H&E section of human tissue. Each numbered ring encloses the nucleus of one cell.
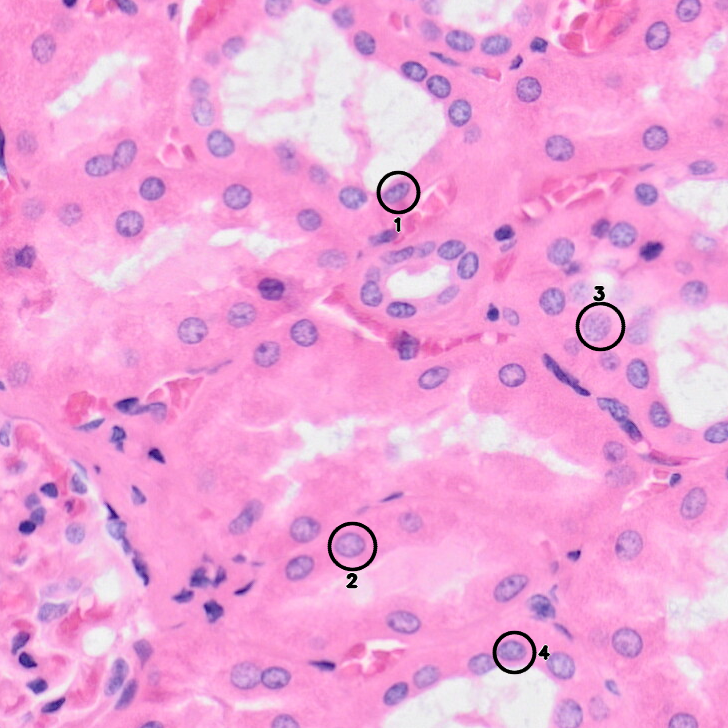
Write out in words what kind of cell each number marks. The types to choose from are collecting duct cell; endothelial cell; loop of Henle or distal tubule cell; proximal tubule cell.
Cell 1 is a loop of Henle or distal tubule cell, cell 2 is a proximal tubule cell, cell 3 is a loop of Henle or distal tubule cell and cell 4 is a loop of Henle or distal tubule cell.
